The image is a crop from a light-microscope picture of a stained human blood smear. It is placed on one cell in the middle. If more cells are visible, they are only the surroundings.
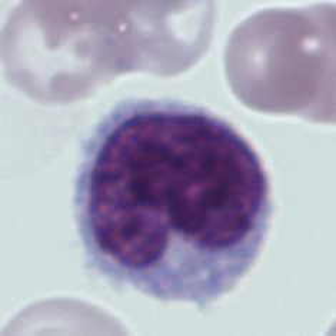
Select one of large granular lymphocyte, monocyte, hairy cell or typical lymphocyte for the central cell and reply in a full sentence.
As for the cell in the middle, it is a monocyte.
